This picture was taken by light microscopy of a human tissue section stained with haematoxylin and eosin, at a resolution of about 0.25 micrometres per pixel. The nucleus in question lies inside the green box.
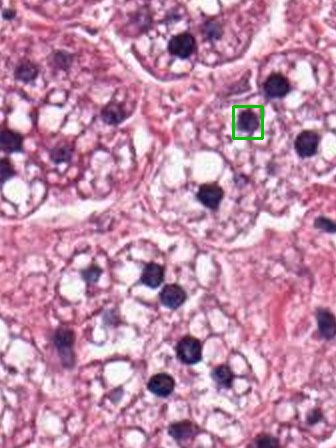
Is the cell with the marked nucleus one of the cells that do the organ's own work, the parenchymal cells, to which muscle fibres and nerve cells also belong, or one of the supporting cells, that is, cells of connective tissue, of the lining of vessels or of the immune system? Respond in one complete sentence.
The nucleus that is marked belongs to a parenchymal cell, namely an adrenal cortical cell.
